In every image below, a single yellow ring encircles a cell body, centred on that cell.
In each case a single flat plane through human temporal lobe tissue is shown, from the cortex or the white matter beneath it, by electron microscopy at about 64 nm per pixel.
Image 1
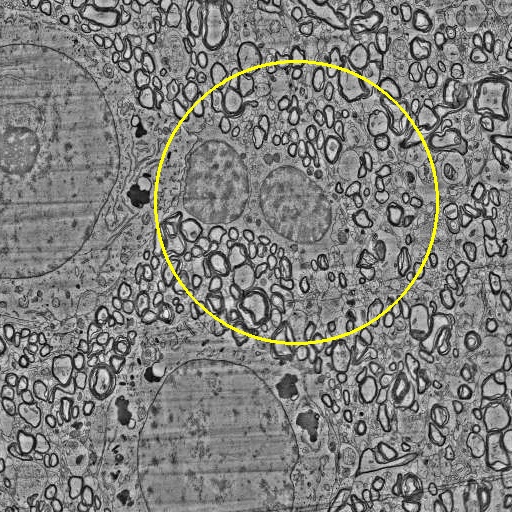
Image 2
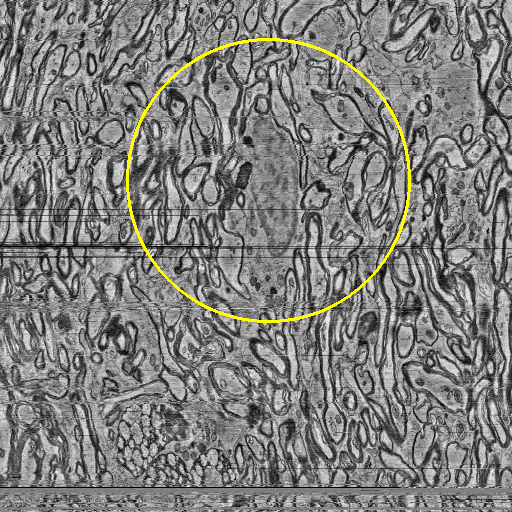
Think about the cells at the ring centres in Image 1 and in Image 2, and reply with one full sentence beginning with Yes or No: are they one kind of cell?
Yes, the cells centred in the rings of Image 1 and Image 2 are one kind of cell.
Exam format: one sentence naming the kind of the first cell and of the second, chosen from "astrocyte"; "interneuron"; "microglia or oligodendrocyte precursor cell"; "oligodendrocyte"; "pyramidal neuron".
In each picture the ringed cell is an oligodendrocyte.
